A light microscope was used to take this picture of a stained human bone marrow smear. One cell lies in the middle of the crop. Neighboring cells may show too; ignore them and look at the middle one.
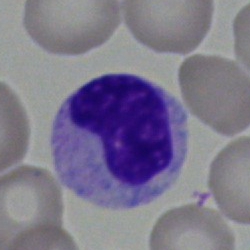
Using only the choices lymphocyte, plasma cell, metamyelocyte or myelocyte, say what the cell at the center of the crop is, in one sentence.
The cell in the exact centre of the crop is a metamyelocyte.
